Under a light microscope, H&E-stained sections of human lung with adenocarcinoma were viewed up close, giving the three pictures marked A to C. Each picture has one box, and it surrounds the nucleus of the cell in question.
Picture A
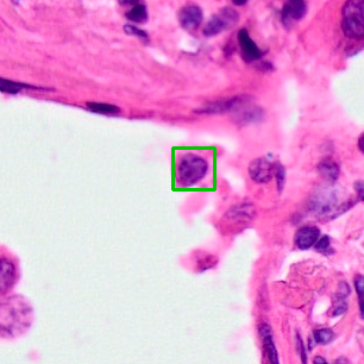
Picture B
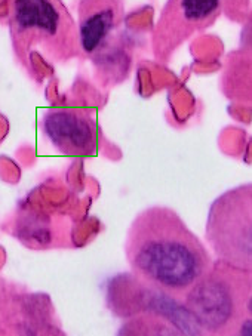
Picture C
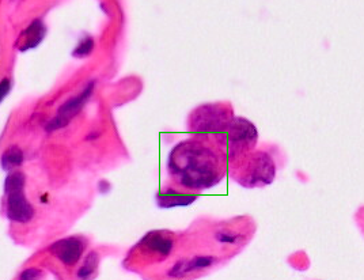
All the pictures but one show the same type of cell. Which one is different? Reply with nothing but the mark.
C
